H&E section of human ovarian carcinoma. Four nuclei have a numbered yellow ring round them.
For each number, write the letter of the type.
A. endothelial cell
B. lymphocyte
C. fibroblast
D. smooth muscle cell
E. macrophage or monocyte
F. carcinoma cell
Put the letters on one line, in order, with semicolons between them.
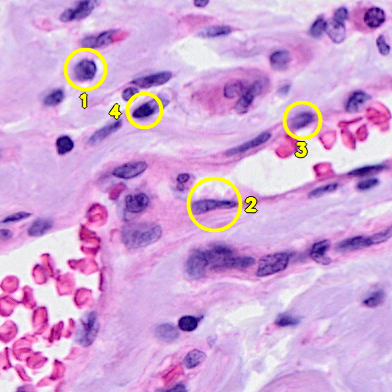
B; A; A; B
